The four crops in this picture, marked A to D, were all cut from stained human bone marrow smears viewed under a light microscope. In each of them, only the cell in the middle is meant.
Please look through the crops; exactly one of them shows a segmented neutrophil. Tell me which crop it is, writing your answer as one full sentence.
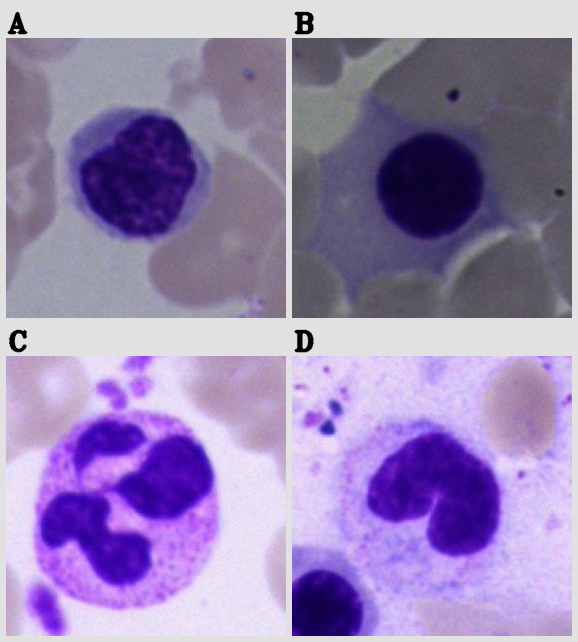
Crop C is the crop that shows a segmented neutrophil in its middle.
